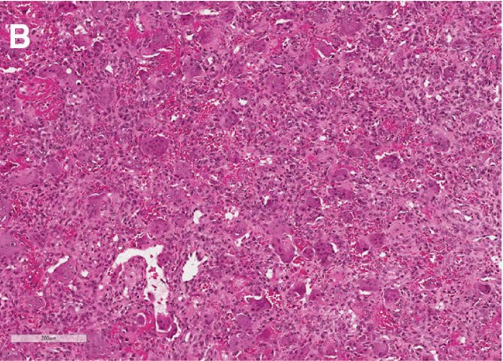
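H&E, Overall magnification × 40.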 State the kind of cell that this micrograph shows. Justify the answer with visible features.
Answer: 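Multinucleated giant cells. Many large cells with abundant pink cytoplasm are scattered across the field. These large cells are much bigger than the surrounding small cells. The large cells lie among densely packed small mononuclear cells and vessels.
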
